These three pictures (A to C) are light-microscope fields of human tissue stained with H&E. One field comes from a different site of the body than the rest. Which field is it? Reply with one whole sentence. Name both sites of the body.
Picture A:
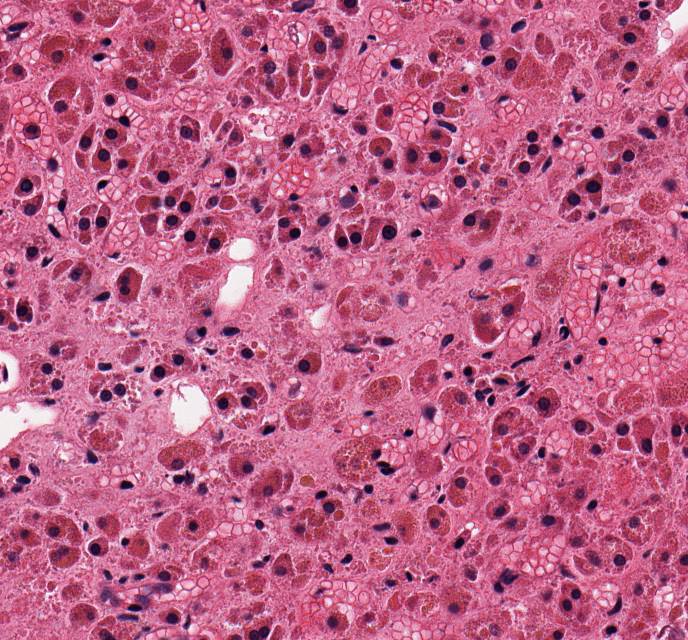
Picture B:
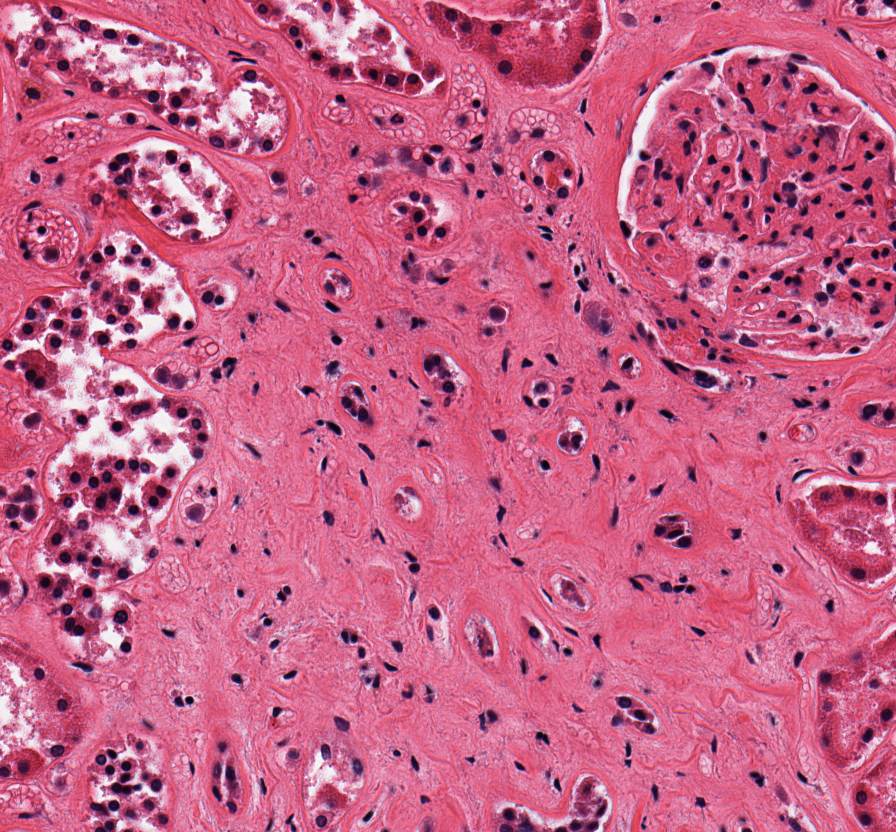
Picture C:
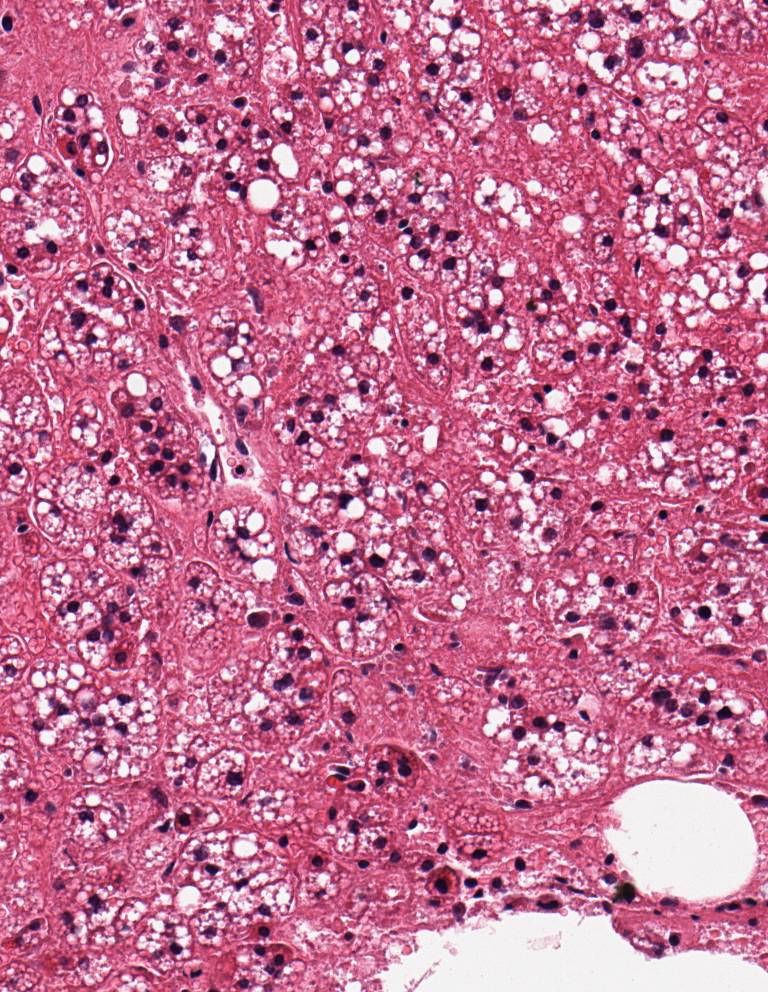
All pictures except B come from the adrenal gland; picture B comes from the renal cortex.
